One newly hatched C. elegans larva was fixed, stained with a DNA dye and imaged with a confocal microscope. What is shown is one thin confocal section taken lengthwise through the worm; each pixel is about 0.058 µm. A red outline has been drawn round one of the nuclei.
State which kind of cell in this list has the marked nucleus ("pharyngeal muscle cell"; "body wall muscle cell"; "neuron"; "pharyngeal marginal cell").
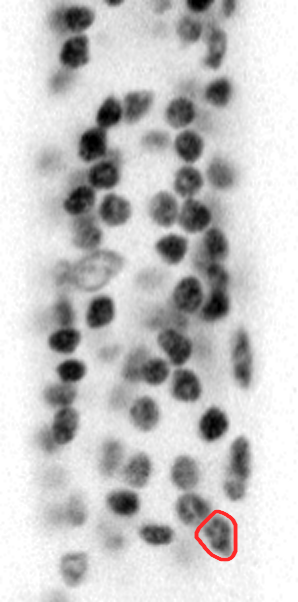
body wall muscle cell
